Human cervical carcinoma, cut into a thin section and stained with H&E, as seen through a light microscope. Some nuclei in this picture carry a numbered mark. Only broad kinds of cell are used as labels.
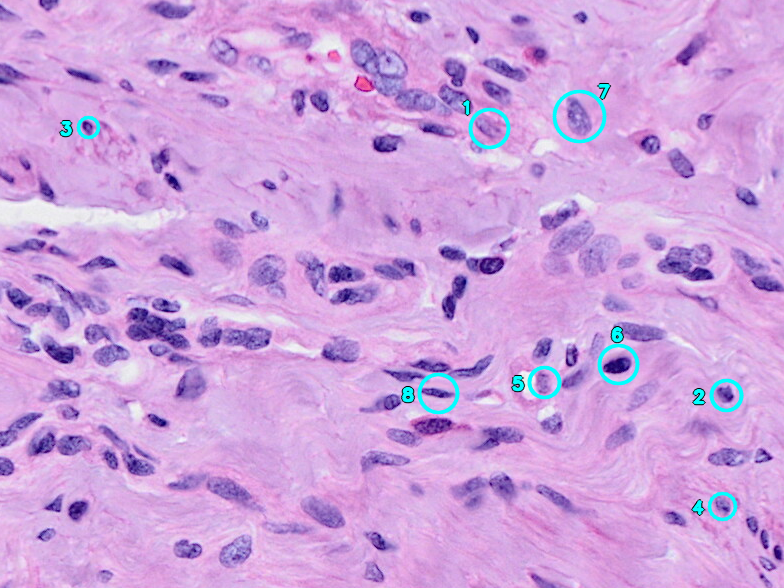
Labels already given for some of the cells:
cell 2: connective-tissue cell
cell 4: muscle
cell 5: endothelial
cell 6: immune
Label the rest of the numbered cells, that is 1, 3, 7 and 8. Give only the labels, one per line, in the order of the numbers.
endothelial
muscle
connective-tissue cell
connective-tissue cell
